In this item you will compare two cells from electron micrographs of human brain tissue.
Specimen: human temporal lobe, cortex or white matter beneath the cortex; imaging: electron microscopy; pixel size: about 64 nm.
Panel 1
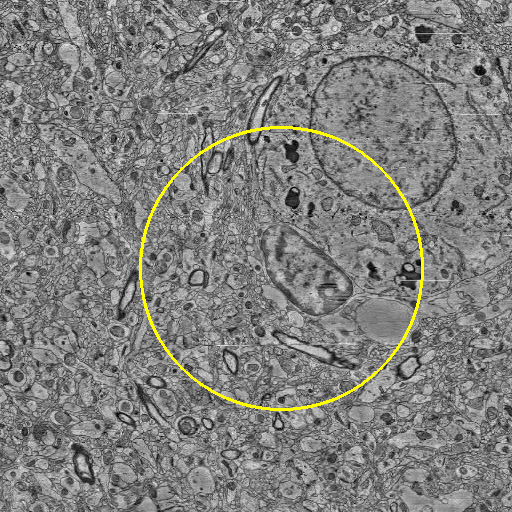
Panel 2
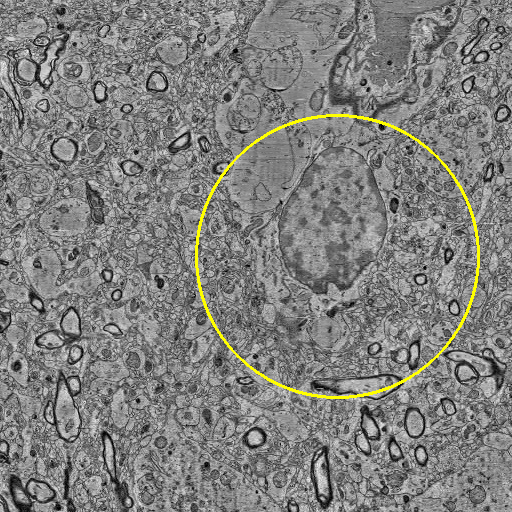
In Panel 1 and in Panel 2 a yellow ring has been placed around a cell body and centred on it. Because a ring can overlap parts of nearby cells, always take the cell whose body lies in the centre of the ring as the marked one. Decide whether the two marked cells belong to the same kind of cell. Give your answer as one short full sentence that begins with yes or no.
Yes, the two marked cells belong to the same kind of cell.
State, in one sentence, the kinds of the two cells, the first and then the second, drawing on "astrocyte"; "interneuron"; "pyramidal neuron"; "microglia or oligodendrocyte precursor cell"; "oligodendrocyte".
Both rings mark a microglial cell or oligodendrocyte precursor cell, one in each picture.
